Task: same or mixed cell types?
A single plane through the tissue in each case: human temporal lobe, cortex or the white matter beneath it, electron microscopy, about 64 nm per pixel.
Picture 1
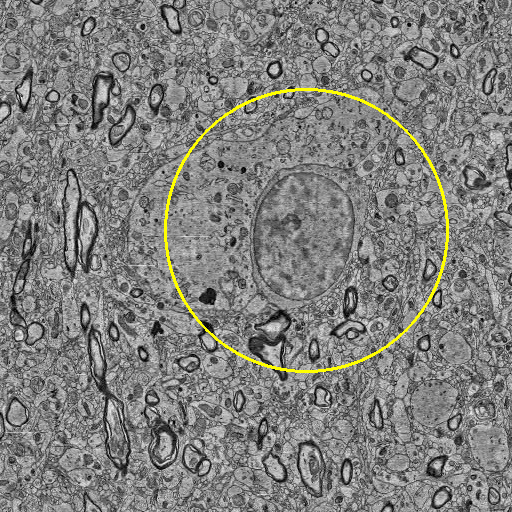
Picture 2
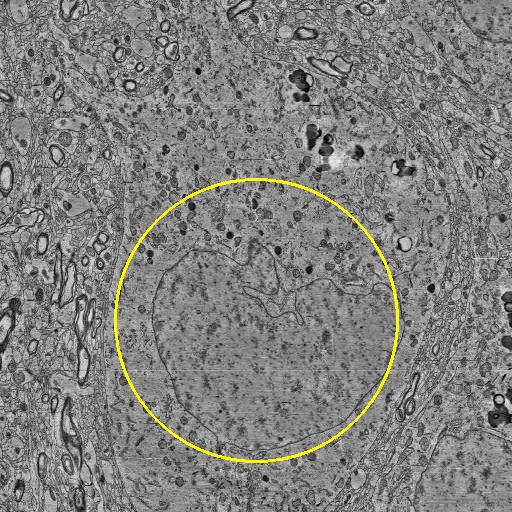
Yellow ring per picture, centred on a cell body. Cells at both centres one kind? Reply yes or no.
no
